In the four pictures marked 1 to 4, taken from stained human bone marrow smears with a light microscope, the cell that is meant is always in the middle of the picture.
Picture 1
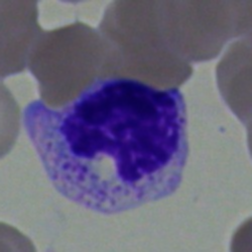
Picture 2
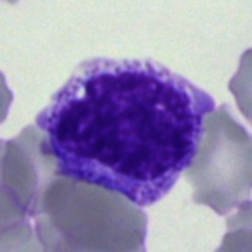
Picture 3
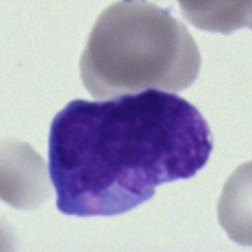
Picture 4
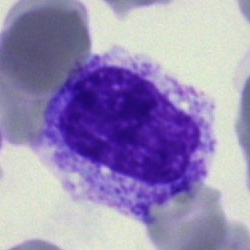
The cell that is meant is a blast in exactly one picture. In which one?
3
